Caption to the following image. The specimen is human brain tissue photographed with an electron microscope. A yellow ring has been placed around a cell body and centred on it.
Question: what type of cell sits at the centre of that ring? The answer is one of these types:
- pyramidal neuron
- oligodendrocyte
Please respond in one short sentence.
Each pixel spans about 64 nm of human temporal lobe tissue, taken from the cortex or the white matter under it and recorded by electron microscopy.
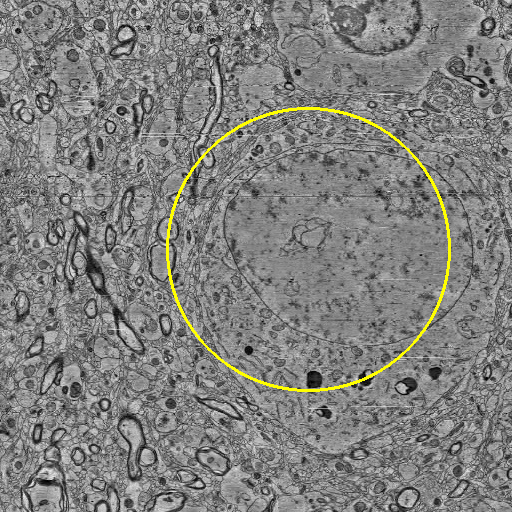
The ring surrounds the cell body of a pyramidal neuron.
